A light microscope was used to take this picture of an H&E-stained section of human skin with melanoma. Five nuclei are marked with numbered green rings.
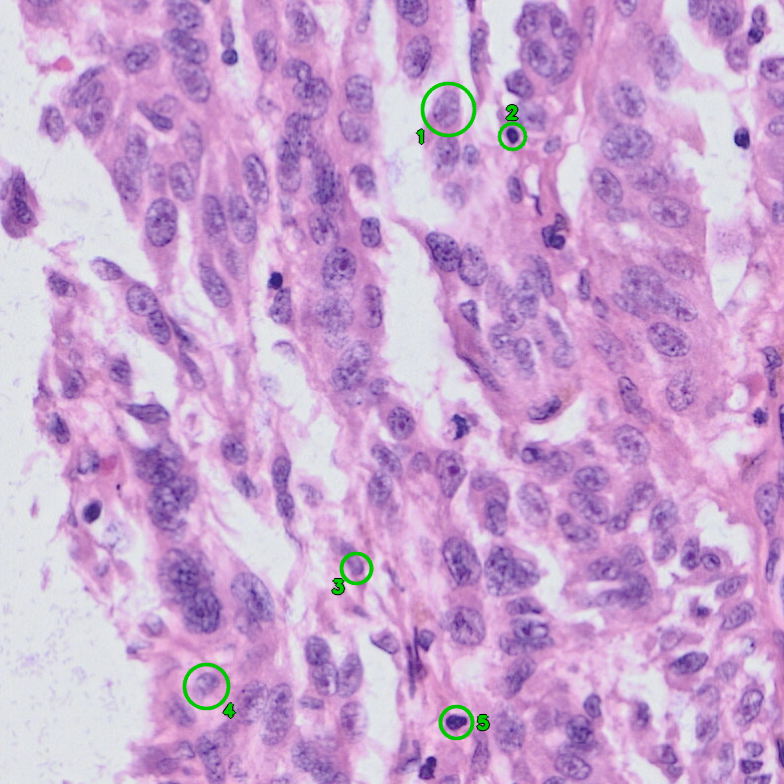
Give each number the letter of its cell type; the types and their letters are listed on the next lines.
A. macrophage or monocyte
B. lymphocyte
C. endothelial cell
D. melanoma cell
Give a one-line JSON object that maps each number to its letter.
{"1": "D", "2": "B", "3": "A", "4": "C", "5": "B"}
